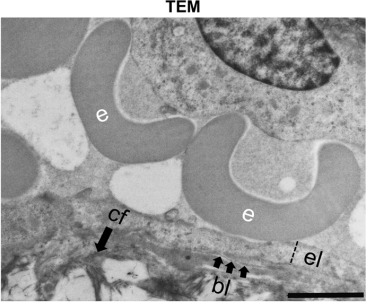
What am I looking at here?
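Here curved, evenly grey red blood cells lie in a vessel lumen, lined by an endothelial layer that runs unbroken beneath them. Along the outer side of this layer a thin dense line, the basal lamina, follows it continuously. Beyond it lie bundles of fine collagen fibrils. At the top a cell with a large nucleus with clumped dark chromatin borders the lumen.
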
